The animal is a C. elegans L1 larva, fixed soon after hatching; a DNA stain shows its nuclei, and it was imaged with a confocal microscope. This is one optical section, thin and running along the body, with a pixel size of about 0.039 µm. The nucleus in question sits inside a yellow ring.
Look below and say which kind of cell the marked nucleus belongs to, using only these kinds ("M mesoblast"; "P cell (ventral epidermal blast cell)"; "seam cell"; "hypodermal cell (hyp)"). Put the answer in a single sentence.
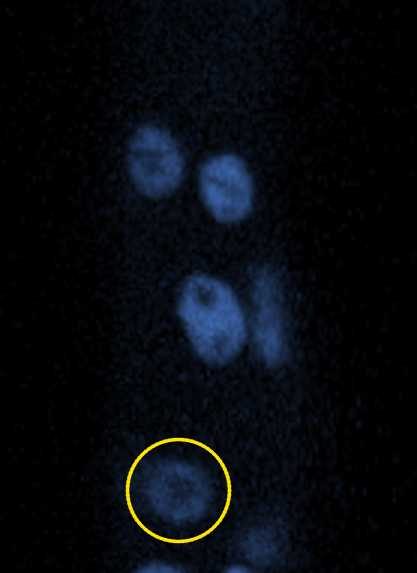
The marked nucleus is that of an M mesoblast.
